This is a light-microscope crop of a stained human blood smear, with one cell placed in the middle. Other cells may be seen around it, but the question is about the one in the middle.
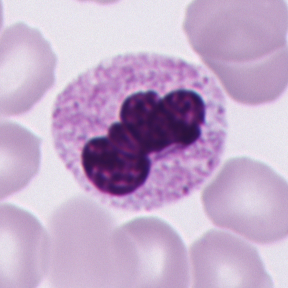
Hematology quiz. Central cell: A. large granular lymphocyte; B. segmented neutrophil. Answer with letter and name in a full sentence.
The cell occupying the centre is a segmented neutrophil; option B is thus the correct choice.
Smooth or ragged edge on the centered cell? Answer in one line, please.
Around its whole circumference the outline stays smooth, free of projections.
